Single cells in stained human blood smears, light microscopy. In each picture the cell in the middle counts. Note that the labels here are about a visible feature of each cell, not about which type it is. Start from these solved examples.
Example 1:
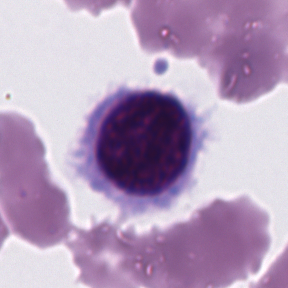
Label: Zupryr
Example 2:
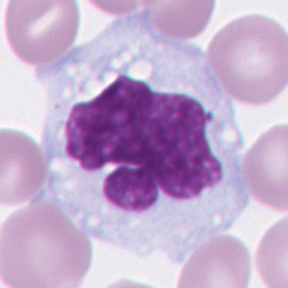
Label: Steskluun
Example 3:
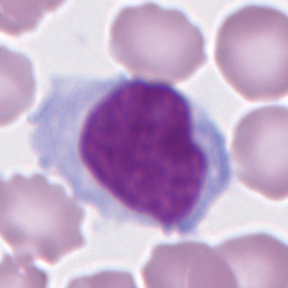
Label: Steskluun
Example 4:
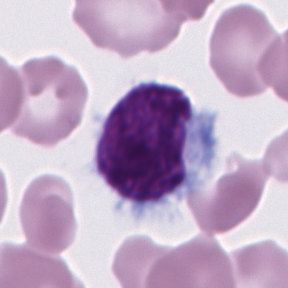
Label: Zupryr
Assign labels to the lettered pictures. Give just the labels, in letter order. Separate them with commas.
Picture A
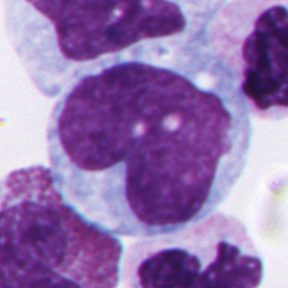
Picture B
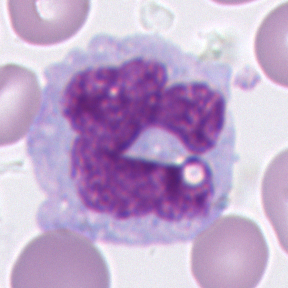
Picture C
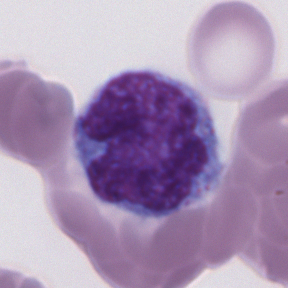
Zupryr, Steskluun, Zupryr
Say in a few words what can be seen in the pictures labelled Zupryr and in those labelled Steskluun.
In Zupryr: scant cytoplasm. In Steskluun: abundant cytoplasm.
